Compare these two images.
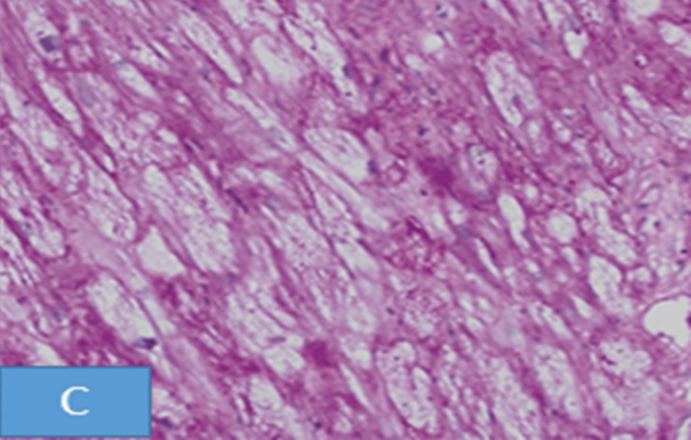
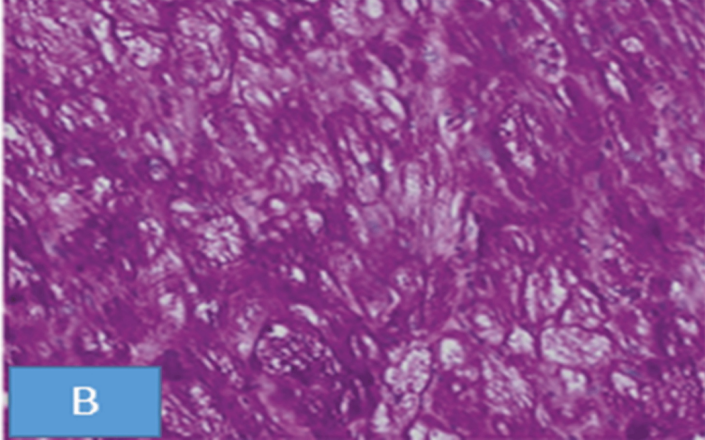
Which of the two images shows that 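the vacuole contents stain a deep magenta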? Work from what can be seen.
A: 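First image: the vacuoles are mostly pale or clear with light pink staining.
Answer: the second image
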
